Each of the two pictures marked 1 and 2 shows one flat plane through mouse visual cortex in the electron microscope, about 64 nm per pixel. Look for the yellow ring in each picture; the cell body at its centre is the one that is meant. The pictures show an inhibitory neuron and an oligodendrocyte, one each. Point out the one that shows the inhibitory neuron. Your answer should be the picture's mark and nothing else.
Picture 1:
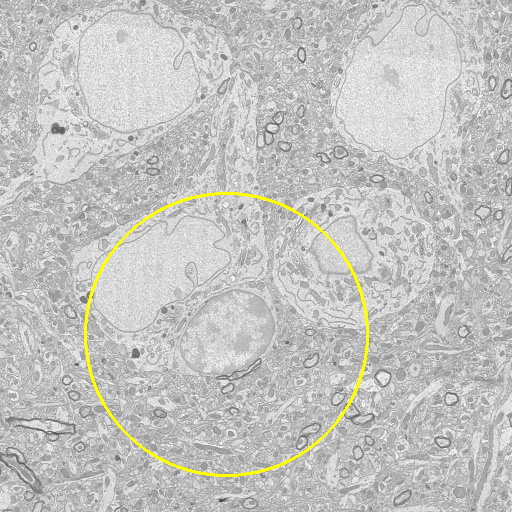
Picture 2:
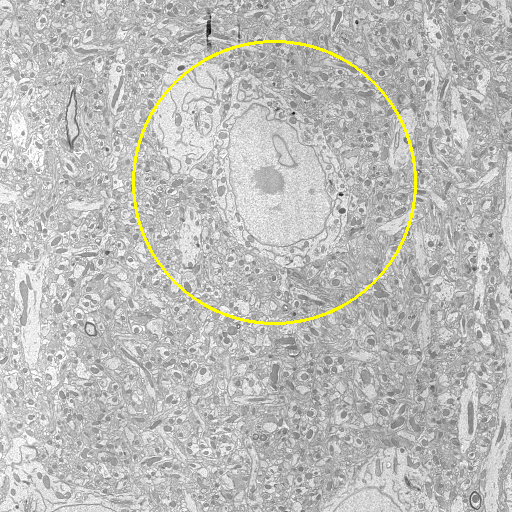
2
